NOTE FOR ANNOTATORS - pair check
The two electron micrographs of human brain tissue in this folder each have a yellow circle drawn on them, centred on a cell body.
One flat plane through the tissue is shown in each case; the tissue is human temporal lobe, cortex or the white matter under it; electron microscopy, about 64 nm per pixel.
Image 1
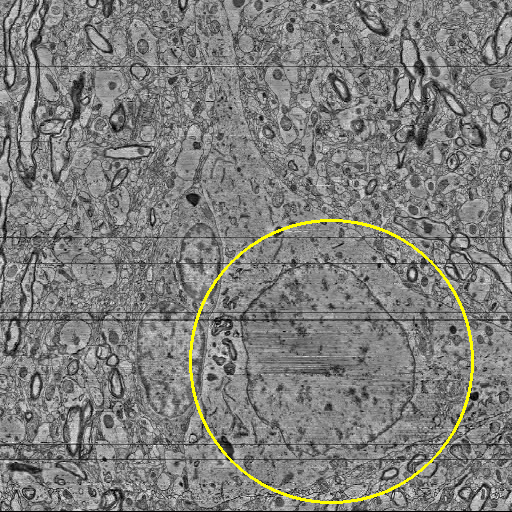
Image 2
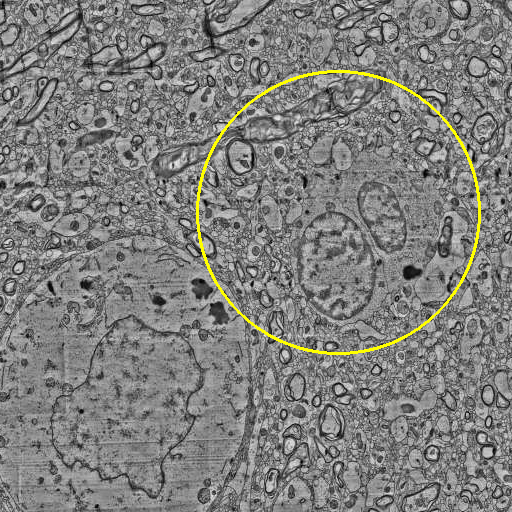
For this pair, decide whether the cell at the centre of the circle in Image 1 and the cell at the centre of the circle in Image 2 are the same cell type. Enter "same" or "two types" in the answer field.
two types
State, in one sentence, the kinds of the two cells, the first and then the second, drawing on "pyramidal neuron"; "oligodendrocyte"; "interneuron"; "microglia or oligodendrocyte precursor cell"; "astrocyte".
The ring in the second picture is centred on an oligodendrocyte, the ring in the first on a pyramidal neuron.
